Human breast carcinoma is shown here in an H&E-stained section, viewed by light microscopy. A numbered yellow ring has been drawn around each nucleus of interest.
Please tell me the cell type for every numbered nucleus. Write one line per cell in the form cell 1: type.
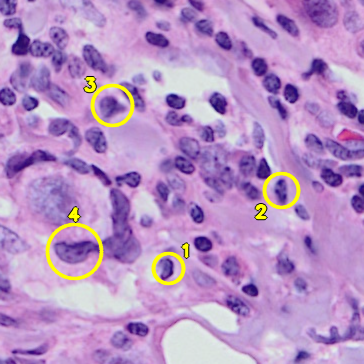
cell 1: lymphocyte
cell 2: lymphocyte
cell 3: lymphocyte
cell 4: carcinoma cell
